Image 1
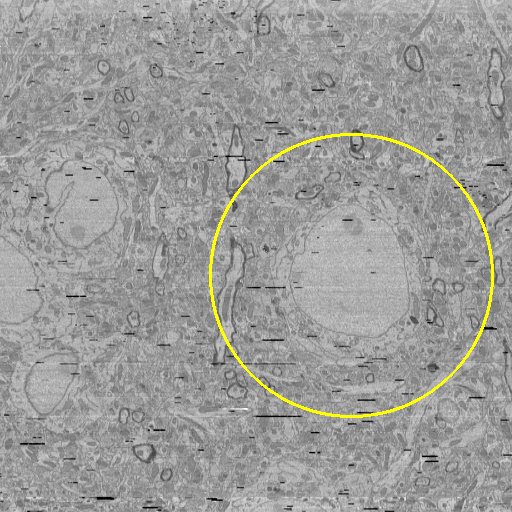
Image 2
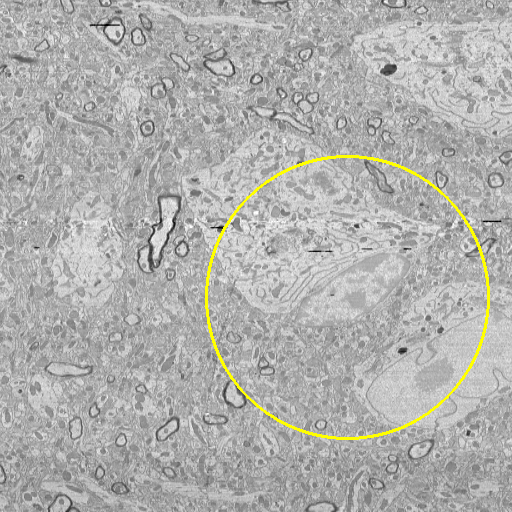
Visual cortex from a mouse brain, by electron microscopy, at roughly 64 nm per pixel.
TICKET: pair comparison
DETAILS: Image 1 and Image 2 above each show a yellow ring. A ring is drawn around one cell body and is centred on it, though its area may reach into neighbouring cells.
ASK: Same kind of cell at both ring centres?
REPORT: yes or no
no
